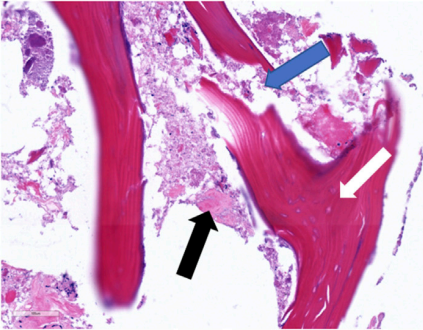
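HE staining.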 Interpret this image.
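The trabeculae show fine parallel lamellar lines running along their length, and very few dark purple nuclei can be found within them. One trabecula is interrupted by a gap, its broken piece lying apart from the rest. The spaces between the bone contain scattered pale pink, structureless clumps and debris rather than a well-organised, cell-rich marrow. A thin purplish rim lines parts of the bone surfaces.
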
